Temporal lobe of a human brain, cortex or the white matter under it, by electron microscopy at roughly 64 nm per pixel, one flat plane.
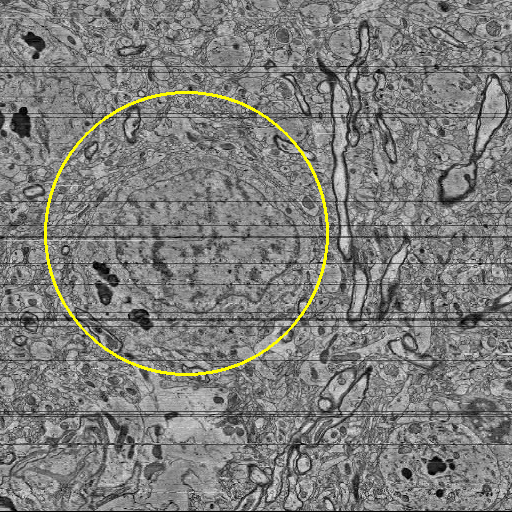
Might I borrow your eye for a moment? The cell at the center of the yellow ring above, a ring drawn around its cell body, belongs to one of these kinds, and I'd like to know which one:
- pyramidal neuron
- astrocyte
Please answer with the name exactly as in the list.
pyramidal neuron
